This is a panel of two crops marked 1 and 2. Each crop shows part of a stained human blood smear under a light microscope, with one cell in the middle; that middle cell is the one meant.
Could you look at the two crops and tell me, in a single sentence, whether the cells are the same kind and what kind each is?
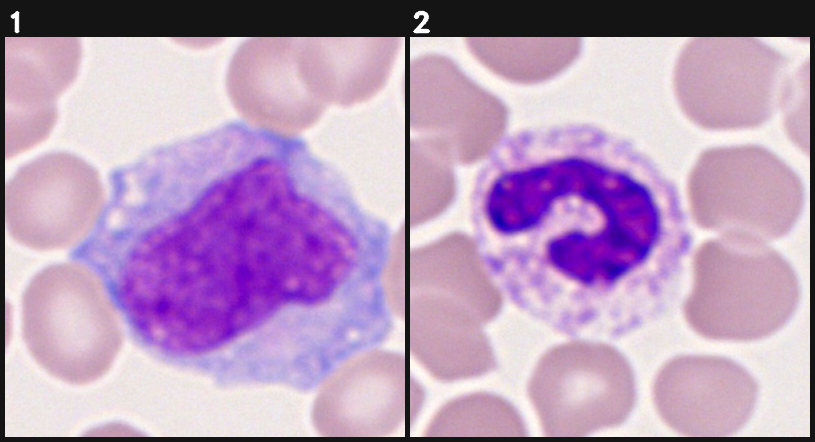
No, the cells are a monocyte in crop 1 and a band neutrophil in crop 2.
